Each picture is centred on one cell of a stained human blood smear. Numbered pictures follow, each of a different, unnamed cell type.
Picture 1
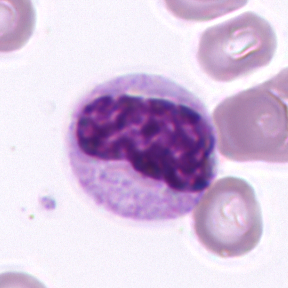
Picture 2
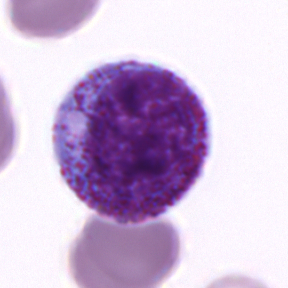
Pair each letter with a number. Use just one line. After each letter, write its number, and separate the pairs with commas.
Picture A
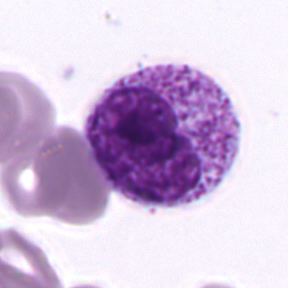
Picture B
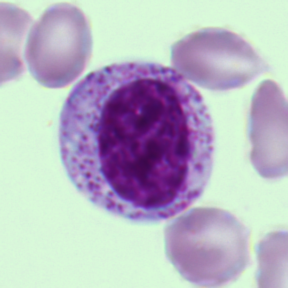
A 1, B 1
